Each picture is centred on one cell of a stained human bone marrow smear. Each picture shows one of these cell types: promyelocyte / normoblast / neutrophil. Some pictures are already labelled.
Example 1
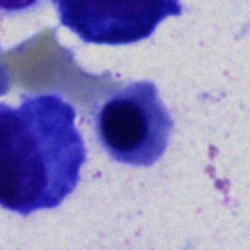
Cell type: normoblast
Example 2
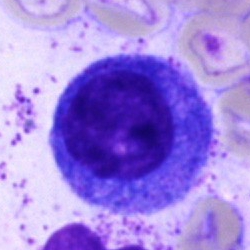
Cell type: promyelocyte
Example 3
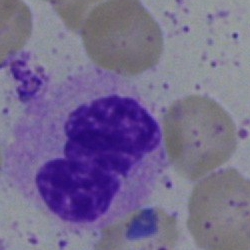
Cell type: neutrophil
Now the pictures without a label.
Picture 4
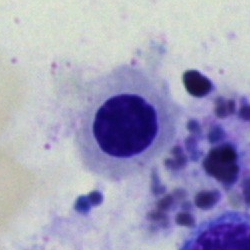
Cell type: normoblast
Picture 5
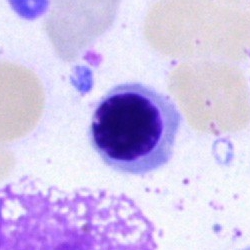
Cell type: normoblast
